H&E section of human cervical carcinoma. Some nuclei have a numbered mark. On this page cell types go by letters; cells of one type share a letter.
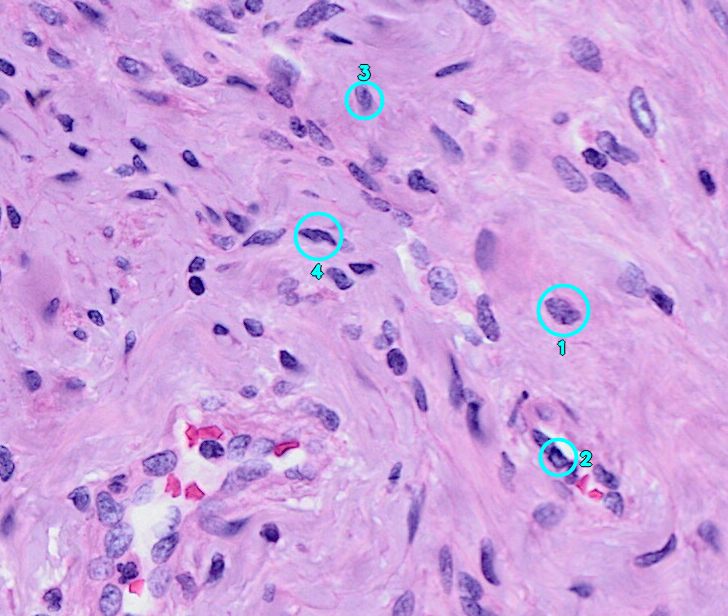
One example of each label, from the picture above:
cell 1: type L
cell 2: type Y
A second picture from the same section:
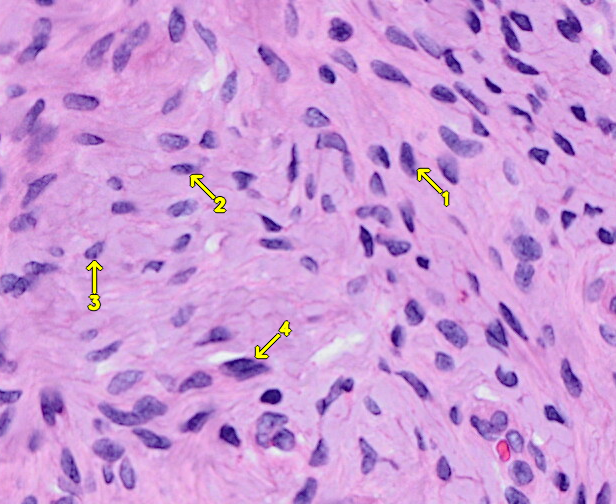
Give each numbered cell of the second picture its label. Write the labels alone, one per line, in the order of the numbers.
type L
type L
type L
type Y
